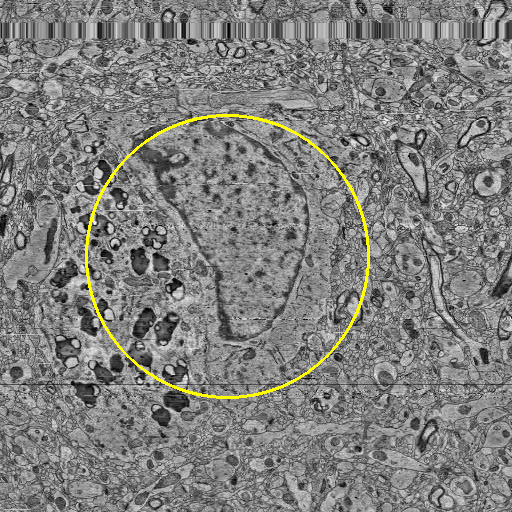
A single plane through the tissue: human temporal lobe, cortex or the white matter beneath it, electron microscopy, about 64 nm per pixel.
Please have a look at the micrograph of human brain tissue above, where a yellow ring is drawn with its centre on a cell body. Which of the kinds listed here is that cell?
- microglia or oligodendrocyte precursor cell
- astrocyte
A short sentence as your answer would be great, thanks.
At the centre of the ring sits a microglial cell or oligodendrocyte precursor cell.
